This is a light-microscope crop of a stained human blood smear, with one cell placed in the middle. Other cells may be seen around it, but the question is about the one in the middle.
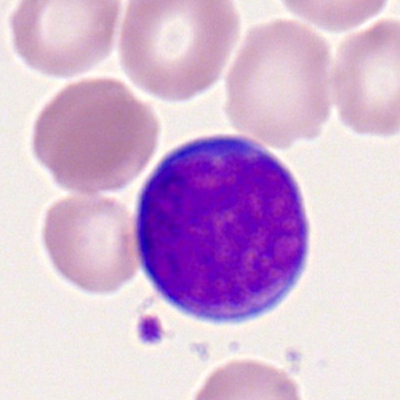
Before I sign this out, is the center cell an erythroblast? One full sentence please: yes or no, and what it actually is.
No, the cell in the middle is recognised as a myeloblast rather than an erythroblast.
